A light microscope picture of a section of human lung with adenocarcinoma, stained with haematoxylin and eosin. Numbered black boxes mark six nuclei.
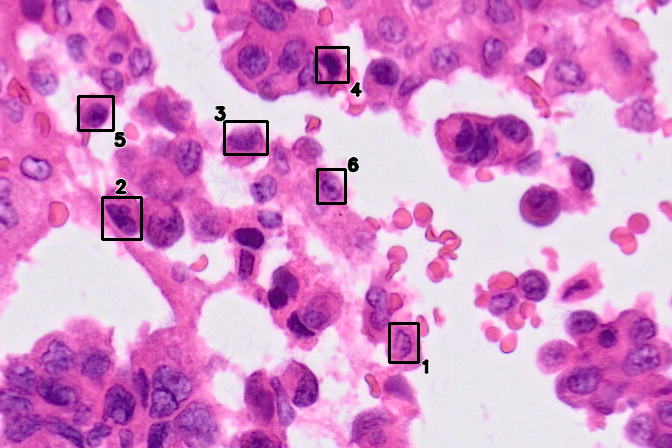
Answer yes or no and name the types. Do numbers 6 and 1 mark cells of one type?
Yes, in this section cells 6 and 1 are both macrophages or monocytes.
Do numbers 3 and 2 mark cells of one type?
Yes, the two numbered cells, 3 and 2, are both carcinoma cells.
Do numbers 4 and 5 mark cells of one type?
No, in contrast to cell 5, which is a macrophage or monocyte, cell 4 is a carcinoma cell.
